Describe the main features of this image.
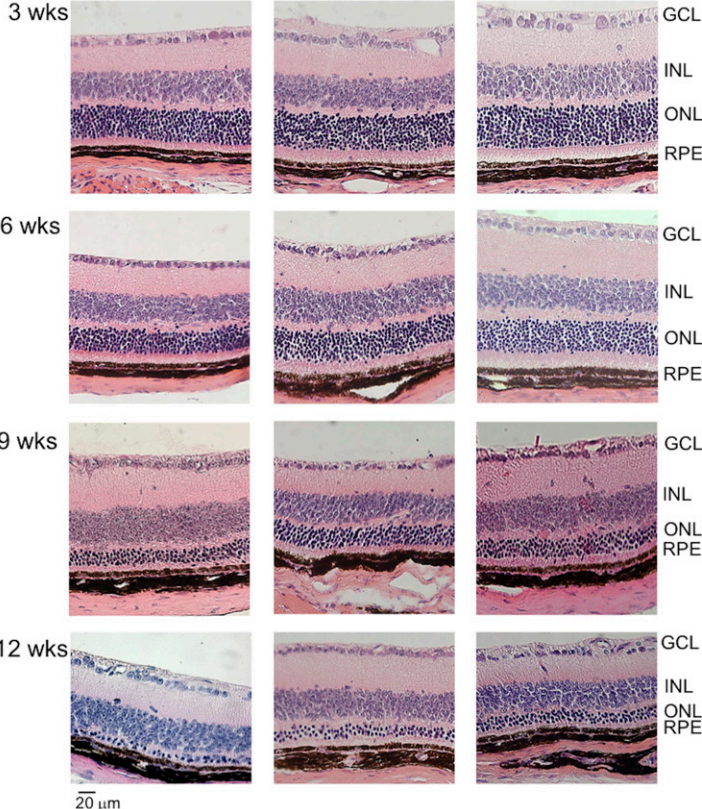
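A grid of sections of layered retina stained with haematoxylin and eosin. The outer nuclear layer is many nuclei thick in the top row and becomes much thinner down the rows, reaching only a few rows of nuclei in the bottom row, while the pink band between it and the pigmented epithelium shortens as well.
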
